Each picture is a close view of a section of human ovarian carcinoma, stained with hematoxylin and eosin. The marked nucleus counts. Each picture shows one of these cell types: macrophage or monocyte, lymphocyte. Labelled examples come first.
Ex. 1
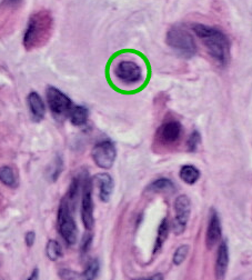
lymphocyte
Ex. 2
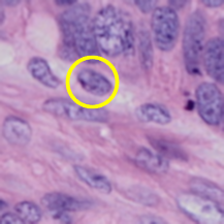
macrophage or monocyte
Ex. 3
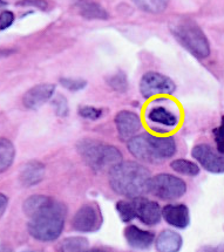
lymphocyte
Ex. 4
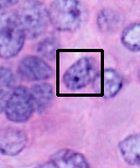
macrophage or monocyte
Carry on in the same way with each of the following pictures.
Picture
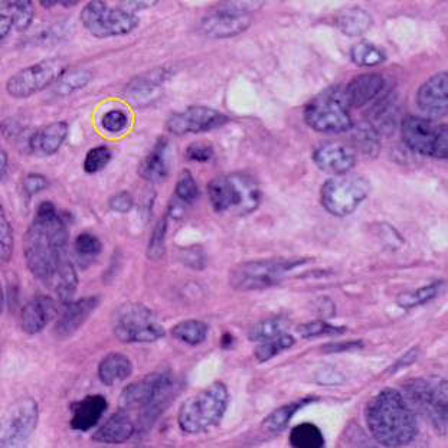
lymphocyte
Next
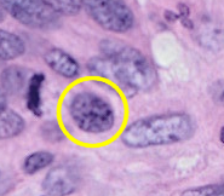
macrophage or monocyte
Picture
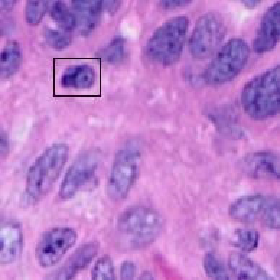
lymphocyte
